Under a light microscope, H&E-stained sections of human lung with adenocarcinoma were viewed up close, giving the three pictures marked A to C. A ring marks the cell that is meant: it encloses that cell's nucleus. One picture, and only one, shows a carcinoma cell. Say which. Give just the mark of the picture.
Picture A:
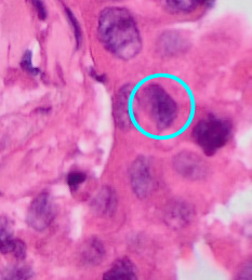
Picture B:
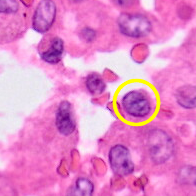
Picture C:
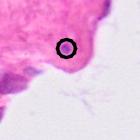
A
